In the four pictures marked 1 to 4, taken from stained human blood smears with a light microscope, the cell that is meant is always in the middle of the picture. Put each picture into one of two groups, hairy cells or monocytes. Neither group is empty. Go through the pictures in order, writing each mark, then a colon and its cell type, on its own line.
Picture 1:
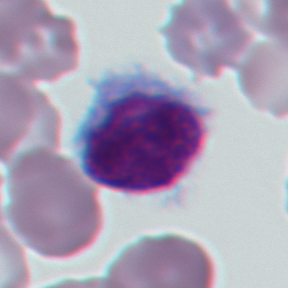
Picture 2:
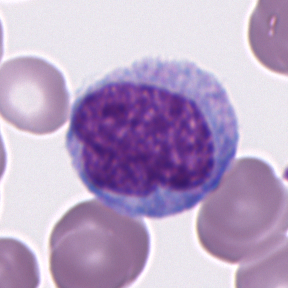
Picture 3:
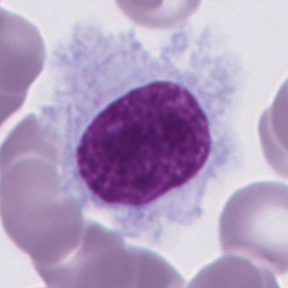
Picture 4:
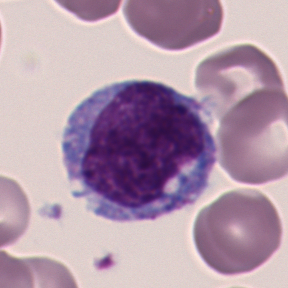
1: hairy cell
2: monocyte
3: hairy cell
4: monocyte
